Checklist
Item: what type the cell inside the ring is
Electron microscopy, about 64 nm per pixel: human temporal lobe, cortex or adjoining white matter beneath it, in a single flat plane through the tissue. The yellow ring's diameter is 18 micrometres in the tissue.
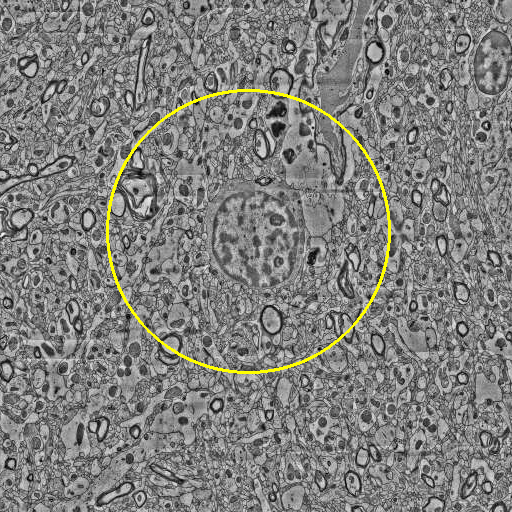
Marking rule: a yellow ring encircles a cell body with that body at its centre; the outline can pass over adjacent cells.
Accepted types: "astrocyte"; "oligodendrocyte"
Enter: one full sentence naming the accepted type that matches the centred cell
The entry is that an oligodendrocyte lies at the centre of the yellow ring.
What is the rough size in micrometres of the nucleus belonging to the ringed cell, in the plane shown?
The nucleus is approximately 7 micrometers long by 6 micrometers wide in this plane.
